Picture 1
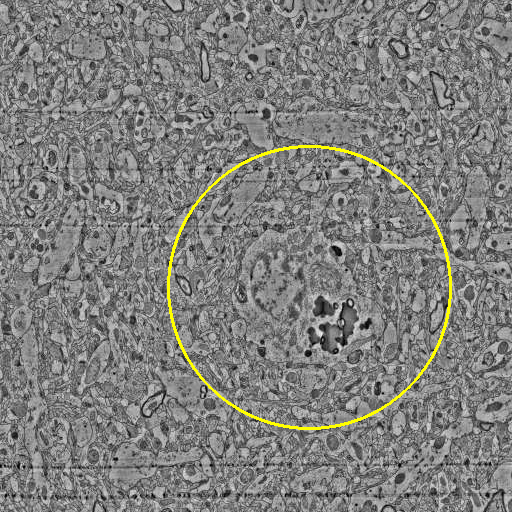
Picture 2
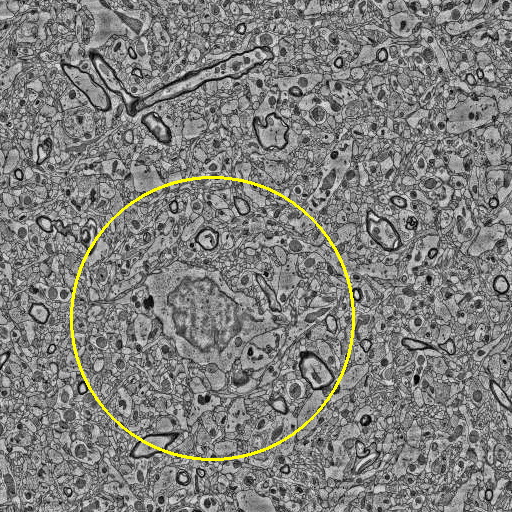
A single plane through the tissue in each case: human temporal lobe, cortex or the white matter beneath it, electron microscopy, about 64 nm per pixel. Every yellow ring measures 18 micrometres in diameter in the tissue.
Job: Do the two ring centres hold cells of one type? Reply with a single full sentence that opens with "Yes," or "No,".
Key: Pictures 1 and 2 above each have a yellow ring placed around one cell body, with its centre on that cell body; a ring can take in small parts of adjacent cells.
Yes, the cells at the two ring centres are of one single type.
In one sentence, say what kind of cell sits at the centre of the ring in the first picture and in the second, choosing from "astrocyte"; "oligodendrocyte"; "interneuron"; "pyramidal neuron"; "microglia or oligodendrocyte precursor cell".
The first and the second cell are each an interneuron.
